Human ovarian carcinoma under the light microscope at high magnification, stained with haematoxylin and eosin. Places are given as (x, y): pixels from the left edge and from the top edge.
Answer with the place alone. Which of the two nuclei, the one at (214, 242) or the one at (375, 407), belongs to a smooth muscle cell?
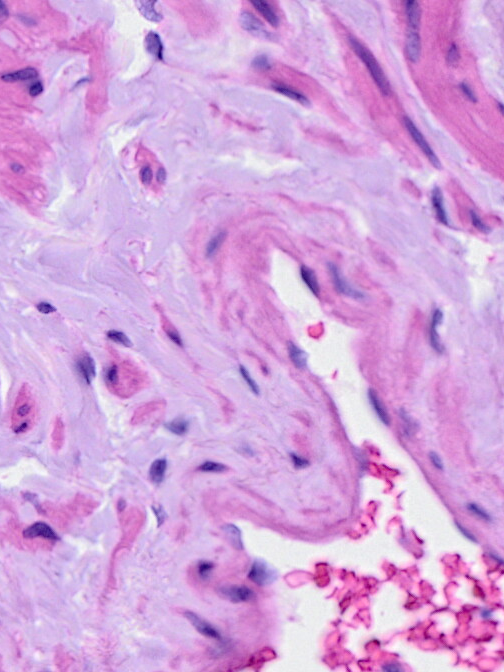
(214, 242)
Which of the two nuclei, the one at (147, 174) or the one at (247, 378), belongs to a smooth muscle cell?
(147, 174)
